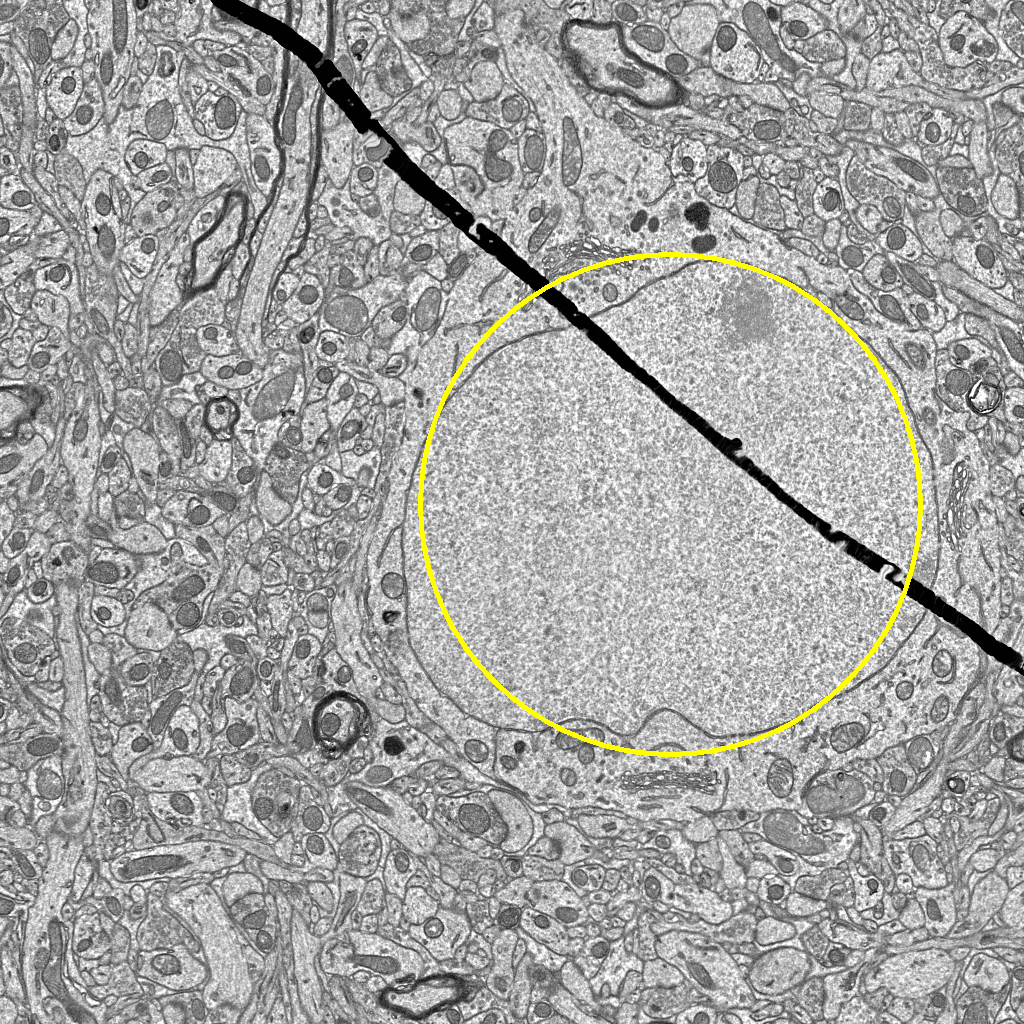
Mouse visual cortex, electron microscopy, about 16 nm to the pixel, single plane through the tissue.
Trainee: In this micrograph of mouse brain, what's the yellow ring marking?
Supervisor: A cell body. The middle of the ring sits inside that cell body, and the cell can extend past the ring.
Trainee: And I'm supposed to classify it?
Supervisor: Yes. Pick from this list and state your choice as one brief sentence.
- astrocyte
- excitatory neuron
The cell at the ring's center is an excitatory neuron.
